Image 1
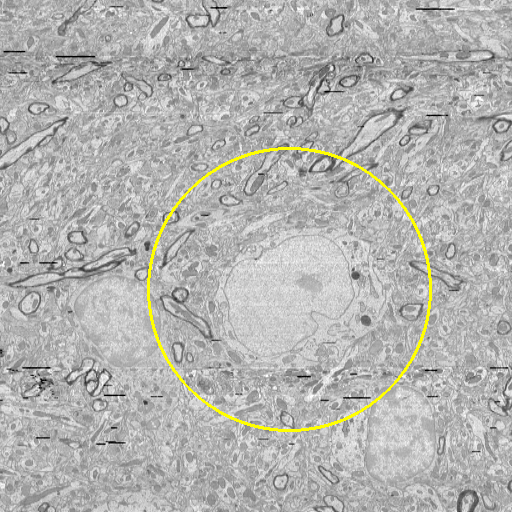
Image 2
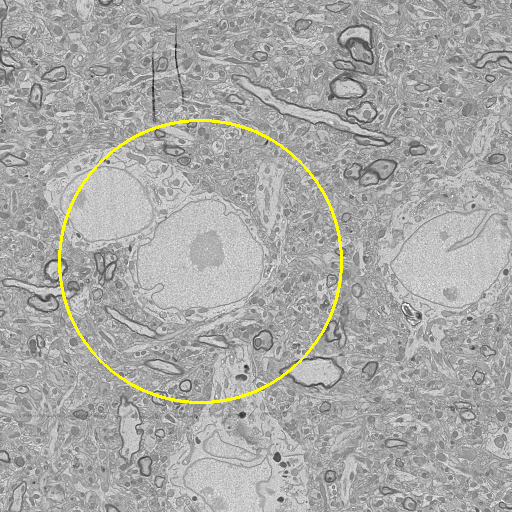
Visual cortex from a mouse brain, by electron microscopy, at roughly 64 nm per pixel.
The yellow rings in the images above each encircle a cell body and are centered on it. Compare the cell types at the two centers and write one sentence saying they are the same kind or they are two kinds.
Taken together, the two cells at the ring centers are two kinds.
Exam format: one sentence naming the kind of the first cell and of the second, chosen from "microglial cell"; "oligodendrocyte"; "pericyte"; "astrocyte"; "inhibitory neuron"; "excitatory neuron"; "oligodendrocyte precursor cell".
The first picture's cell is an excitatory neuron, and the second picture's cell is an inhibitory neuron.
